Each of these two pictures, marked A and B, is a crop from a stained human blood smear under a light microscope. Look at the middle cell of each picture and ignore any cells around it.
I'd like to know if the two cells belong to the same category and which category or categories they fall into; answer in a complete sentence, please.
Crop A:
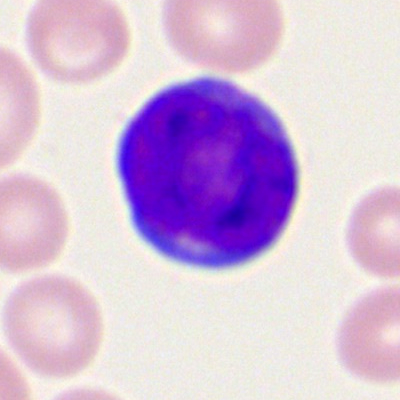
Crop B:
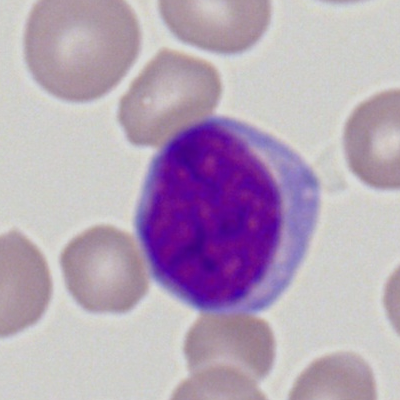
No, crop A contains a blast; a lymphocyte is what crop B contains.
